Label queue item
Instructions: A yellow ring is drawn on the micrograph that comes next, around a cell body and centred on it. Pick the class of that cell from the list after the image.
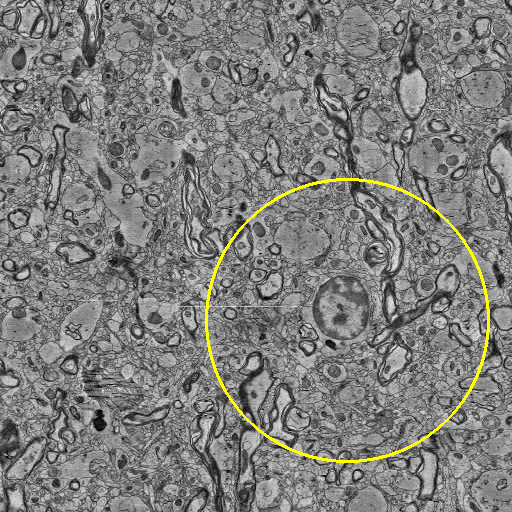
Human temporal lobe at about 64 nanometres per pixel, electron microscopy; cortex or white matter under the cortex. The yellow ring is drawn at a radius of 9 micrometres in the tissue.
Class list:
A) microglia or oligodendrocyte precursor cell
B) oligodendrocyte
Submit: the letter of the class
A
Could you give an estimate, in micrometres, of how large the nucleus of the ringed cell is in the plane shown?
The nucleus of the ringed cell is approximately 4 by 3 micrometres in this plane.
